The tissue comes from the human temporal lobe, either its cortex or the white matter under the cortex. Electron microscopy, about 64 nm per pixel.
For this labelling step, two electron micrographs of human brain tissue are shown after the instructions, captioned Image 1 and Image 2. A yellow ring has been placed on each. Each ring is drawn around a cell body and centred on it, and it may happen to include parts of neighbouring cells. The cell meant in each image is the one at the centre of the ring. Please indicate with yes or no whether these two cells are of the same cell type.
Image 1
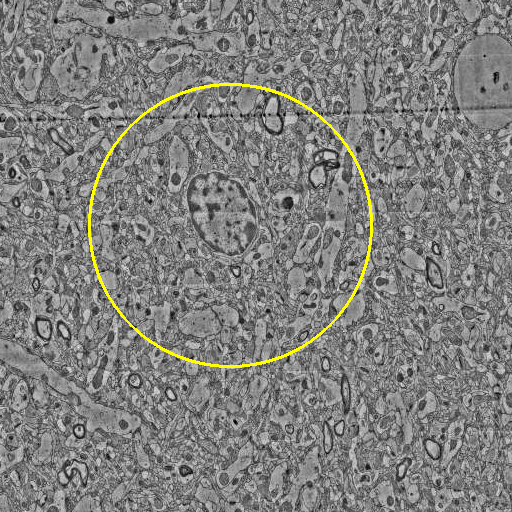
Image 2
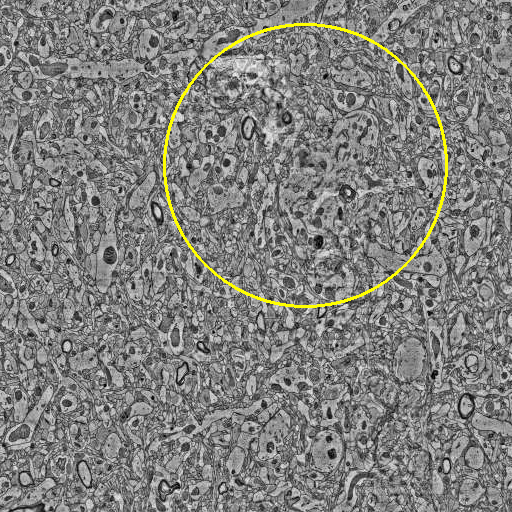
yes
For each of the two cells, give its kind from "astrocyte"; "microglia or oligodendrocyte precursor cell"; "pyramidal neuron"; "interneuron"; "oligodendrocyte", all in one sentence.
Each of the two pictures has a microglial cell or oligodendrocyte precursor cell at the ring centre.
